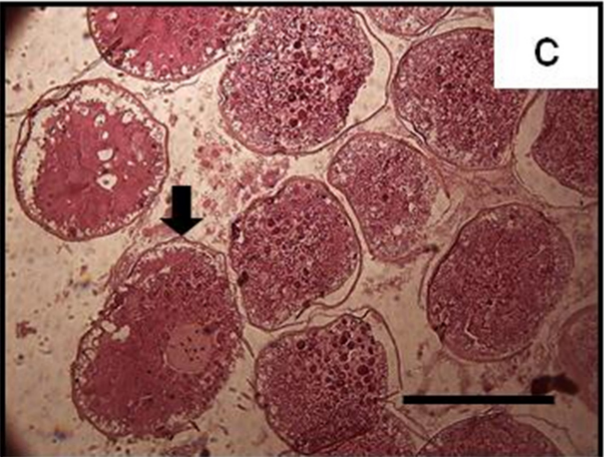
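This ovary section is dominated by large, rounded oocytes that are filled with pink to red granular yolk globules of varied size. Each oocyte is bounded by a thin envelope, and several have partly pulled away from their surroundings, leaving pale spaces and loose debris between them. Within some oocytes a paler region appears near the middle. Small oocytes are scarce compared with a section where many stages lie together. The crowding of large yolky oocytes marks an ovary in which most oocytes have advanced to late stages.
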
